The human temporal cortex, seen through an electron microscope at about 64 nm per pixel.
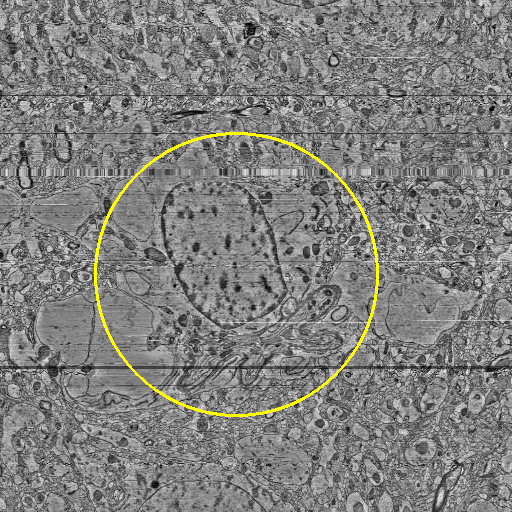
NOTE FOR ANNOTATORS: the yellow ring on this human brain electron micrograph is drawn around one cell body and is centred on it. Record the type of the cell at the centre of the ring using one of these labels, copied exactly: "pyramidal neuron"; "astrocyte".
astrocyte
